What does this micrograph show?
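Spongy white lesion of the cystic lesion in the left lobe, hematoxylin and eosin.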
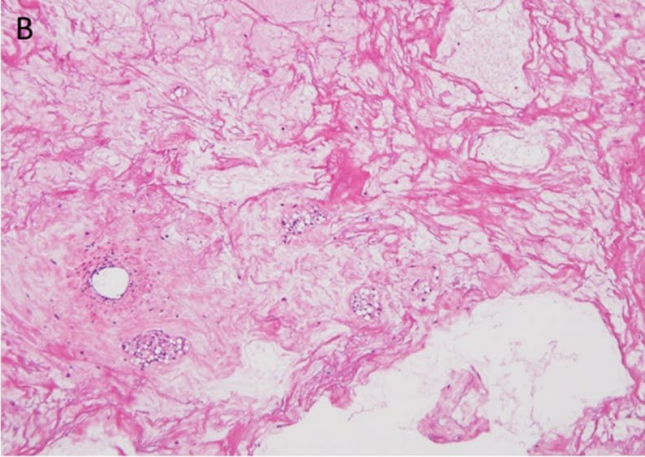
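Loose mesenchymal tissue with abundant pale myxoid material. Wispy pink fibrillary strands separate wide clear spaces, with only sparse scattered cells.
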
